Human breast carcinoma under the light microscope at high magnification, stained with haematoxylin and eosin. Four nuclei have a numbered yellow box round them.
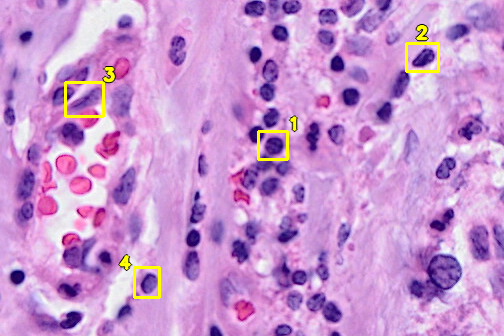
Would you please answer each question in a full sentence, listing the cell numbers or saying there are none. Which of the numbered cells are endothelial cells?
Within the set of numbered cells, only number 3 is an endothelial cell.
